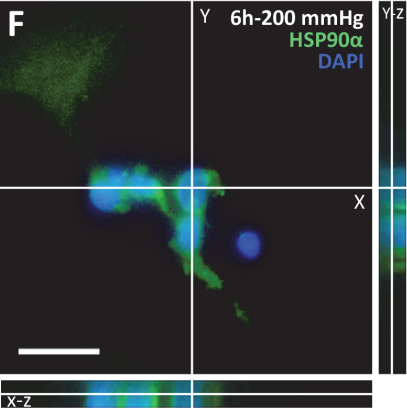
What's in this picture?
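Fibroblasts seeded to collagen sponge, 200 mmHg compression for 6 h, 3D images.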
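Near the centre, a few closely packed cells have blue nuclei, and green fluorescence lies around and over the nuclei. A narrow green extension trails downward from the group. A separate small round blue nucleus to the right has little green around it. Faint diffuse green fills an area in the upper left, away from any nucleus. The narrow side strips show the same blue and green stacked through the depth of the cells.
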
